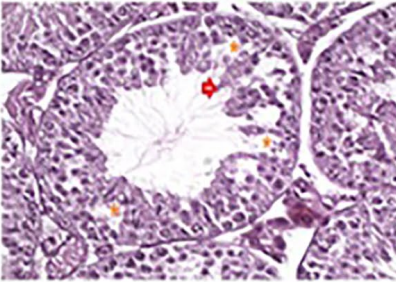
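Seminiferous tubules cut across, each with a stratified germinal epithelium of purple-nucleated germ cells surrounding a central lumen. In the central tubule the epithelium is several cells thick, with small round nuclei near the outer wall and elongated dark heads near the lumen. Scattered pale clear spaces interrupt the epithelium among the germ cells. Thin walls separate adjoining tubules, which show similar layered epithelium at their edges.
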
